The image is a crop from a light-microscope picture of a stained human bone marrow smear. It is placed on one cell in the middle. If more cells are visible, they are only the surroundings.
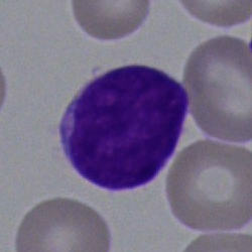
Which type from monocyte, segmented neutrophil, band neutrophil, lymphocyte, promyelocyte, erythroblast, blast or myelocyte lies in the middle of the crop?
blast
